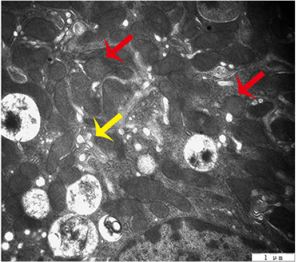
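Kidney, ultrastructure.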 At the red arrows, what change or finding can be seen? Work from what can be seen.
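Rounded, enlarged mitochondria. Cristae are indistinct or absent in the pointed organelles.
Answer: mitochondria appeared swelling, vacuolization and loss of cristae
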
